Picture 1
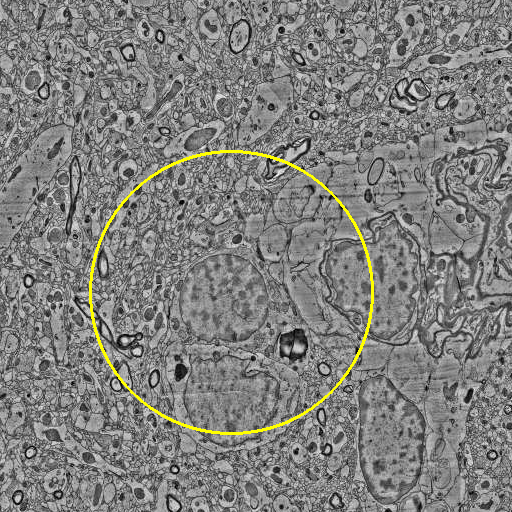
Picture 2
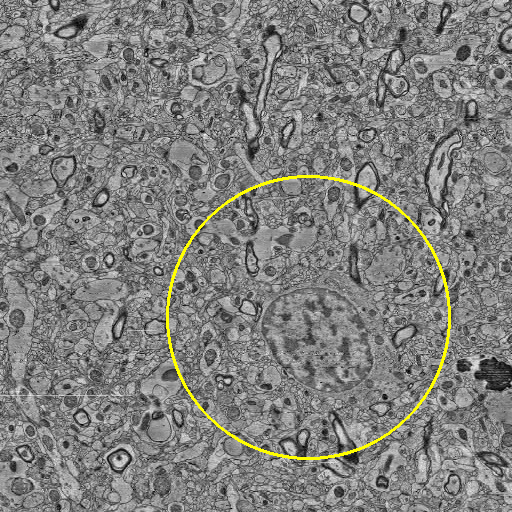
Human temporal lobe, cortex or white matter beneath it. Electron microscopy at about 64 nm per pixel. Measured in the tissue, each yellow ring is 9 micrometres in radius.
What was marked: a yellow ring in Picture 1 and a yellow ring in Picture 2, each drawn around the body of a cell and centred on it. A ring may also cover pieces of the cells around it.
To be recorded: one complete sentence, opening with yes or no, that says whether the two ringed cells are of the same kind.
Yes, the two ringed cells are of the same kind.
